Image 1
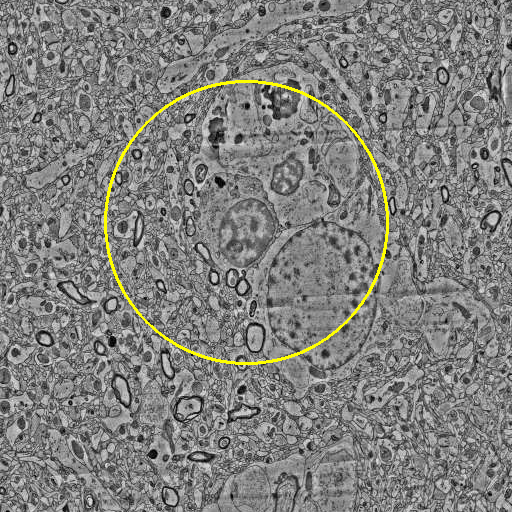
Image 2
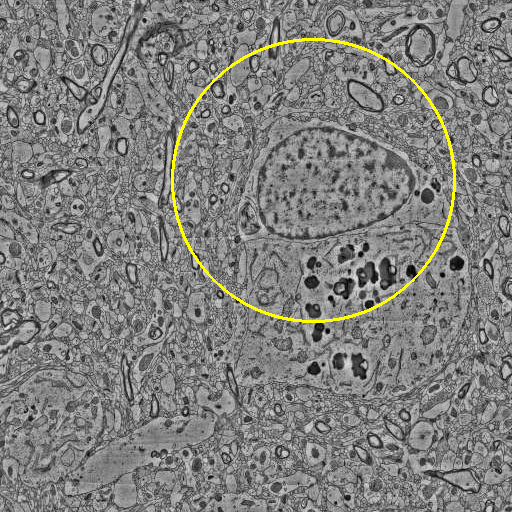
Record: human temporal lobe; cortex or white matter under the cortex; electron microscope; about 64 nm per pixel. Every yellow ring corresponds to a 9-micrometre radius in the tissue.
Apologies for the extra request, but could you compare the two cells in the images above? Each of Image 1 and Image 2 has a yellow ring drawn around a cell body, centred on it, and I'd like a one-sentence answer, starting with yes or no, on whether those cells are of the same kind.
No, the two cells are of two kinds.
